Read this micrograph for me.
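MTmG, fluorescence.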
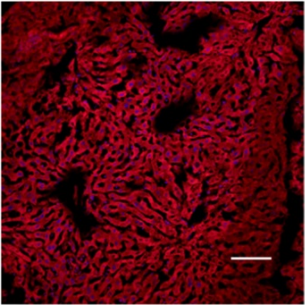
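This is a section of liver in which the hepatocytes are outlined in red fluorescence along their membranes. They are lined up in branching plates and cords that join one another, with narrow dark gaps between them where the sinusoids run. Larger dark, empty spaces are the lumina of vessels, around which the cords are arranged. Small blue nuclei are scattered evenly within the cords.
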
